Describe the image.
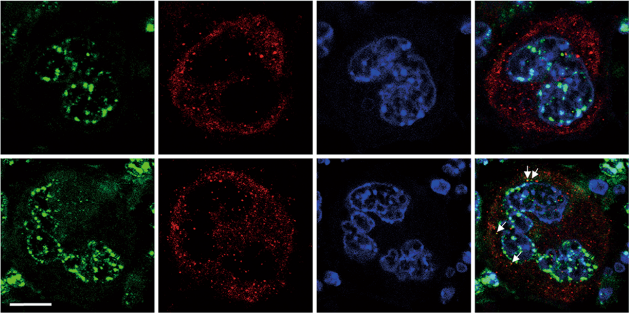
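Green puncta lie mostly over the nuclear lobes, while fine red puncta are scattered through the broad cytoplasm around the nucleus. In the merged lower image, white arrows point to spots where green and red overlap close to the nuclear lobes.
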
